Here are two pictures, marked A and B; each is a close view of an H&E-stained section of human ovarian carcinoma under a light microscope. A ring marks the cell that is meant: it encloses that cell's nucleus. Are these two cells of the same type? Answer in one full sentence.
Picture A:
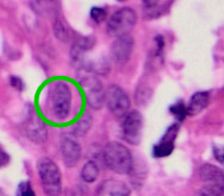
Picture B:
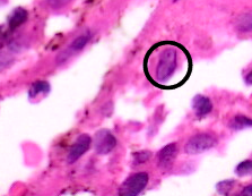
Yes, both cells are “macrophages or monocytes”.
